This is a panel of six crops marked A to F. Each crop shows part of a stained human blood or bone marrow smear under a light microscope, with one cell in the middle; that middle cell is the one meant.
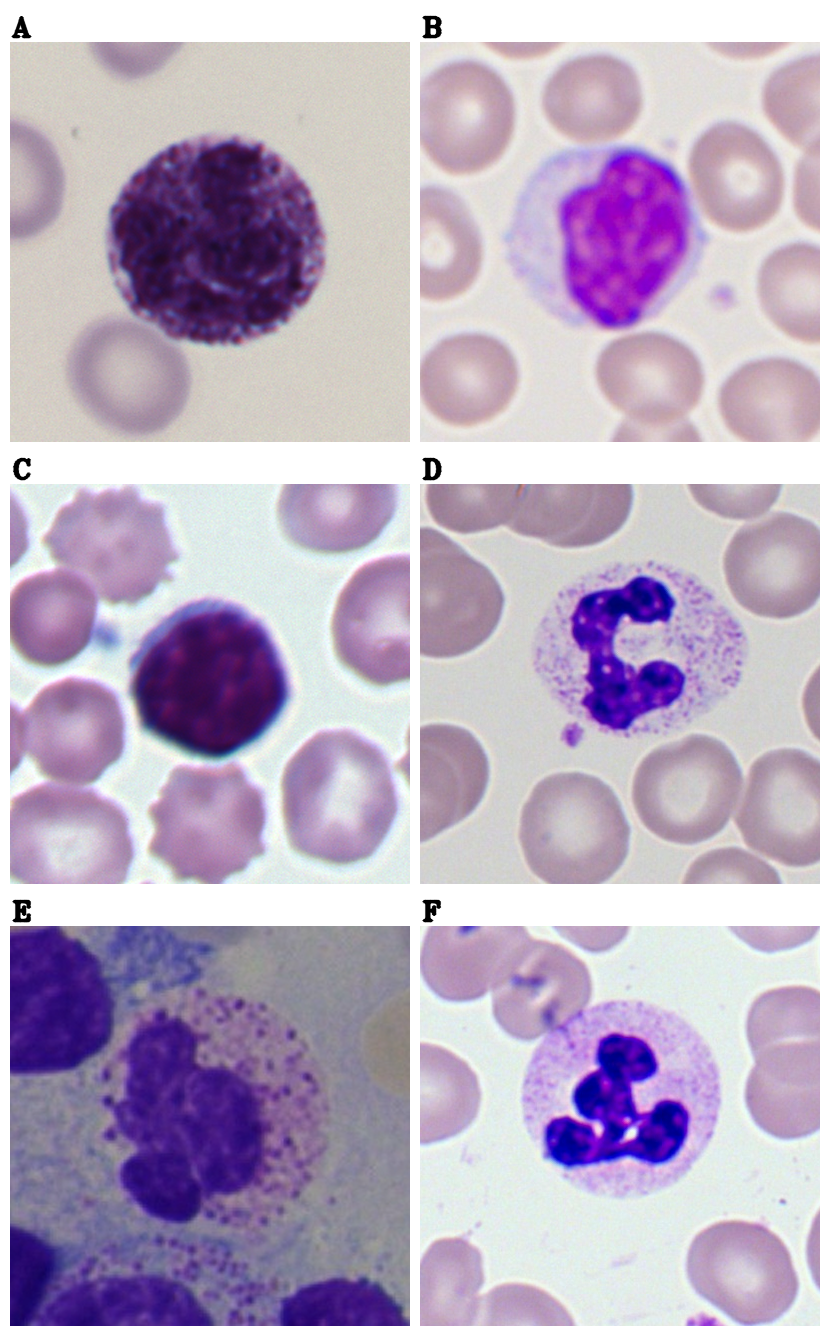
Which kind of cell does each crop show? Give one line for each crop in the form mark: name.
A: basophil
B: lymphocyte
C: lymphocyte
D: segmented neutrophil
E: basophil
F: segmented neutrophil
